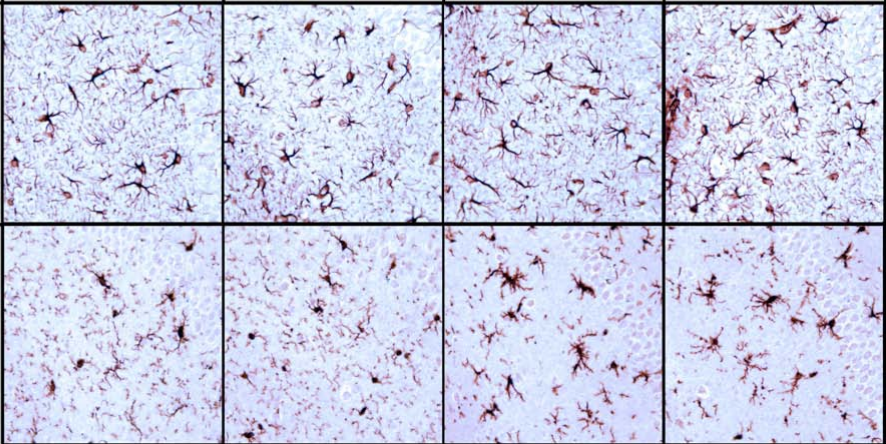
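This block of eight brain sections shows glial cells stained brown on a pale bluish background of neuropil. In the upper row, astrocytes appear as star-shaped cells with a small body and several thin processes radiating outward, scattered fairly evenly through the tissue. In the lower row, microglial cells have small dark cell bodies and fine, branched processes, each cell spaced apart from its neighbours. In the two right-hand columns of the lower row the microglial processes look thicker and bushier than in the two left-hand columns.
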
